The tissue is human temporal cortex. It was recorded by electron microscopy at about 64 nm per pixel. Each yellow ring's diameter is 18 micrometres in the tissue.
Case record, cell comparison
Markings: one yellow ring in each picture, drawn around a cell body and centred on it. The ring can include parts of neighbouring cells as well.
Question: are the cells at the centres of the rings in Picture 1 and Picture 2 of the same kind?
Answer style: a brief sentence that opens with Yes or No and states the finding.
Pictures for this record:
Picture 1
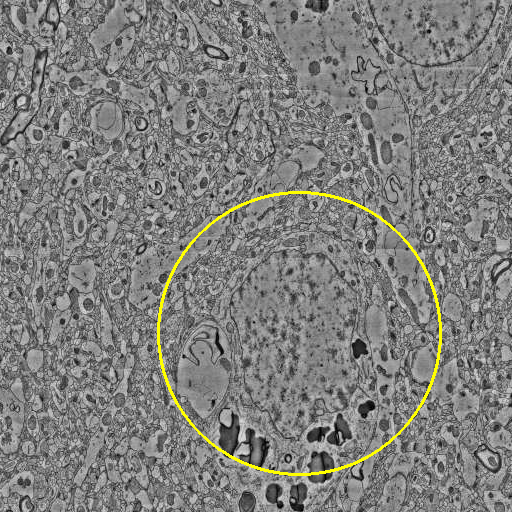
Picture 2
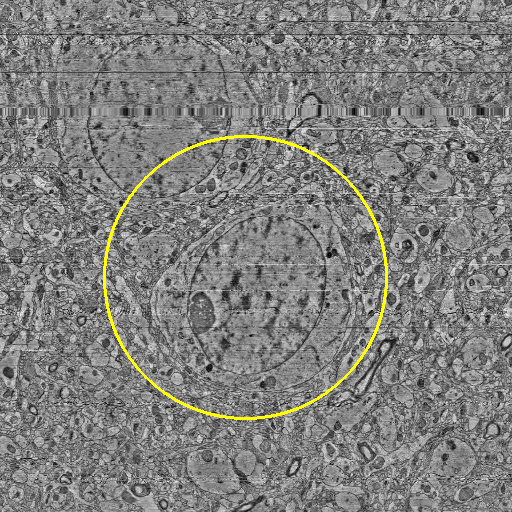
No, the cells in Picture 1 and Picture 2 are of two kinds.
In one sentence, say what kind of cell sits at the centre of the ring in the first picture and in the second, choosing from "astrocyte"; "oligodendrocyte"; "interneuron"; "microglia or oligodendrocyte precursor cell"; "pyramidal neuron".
The first picture's ringed cell is a microglial cell or oligodendrocyte precursor cell, while the second picture's is a pyramidal neuron.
